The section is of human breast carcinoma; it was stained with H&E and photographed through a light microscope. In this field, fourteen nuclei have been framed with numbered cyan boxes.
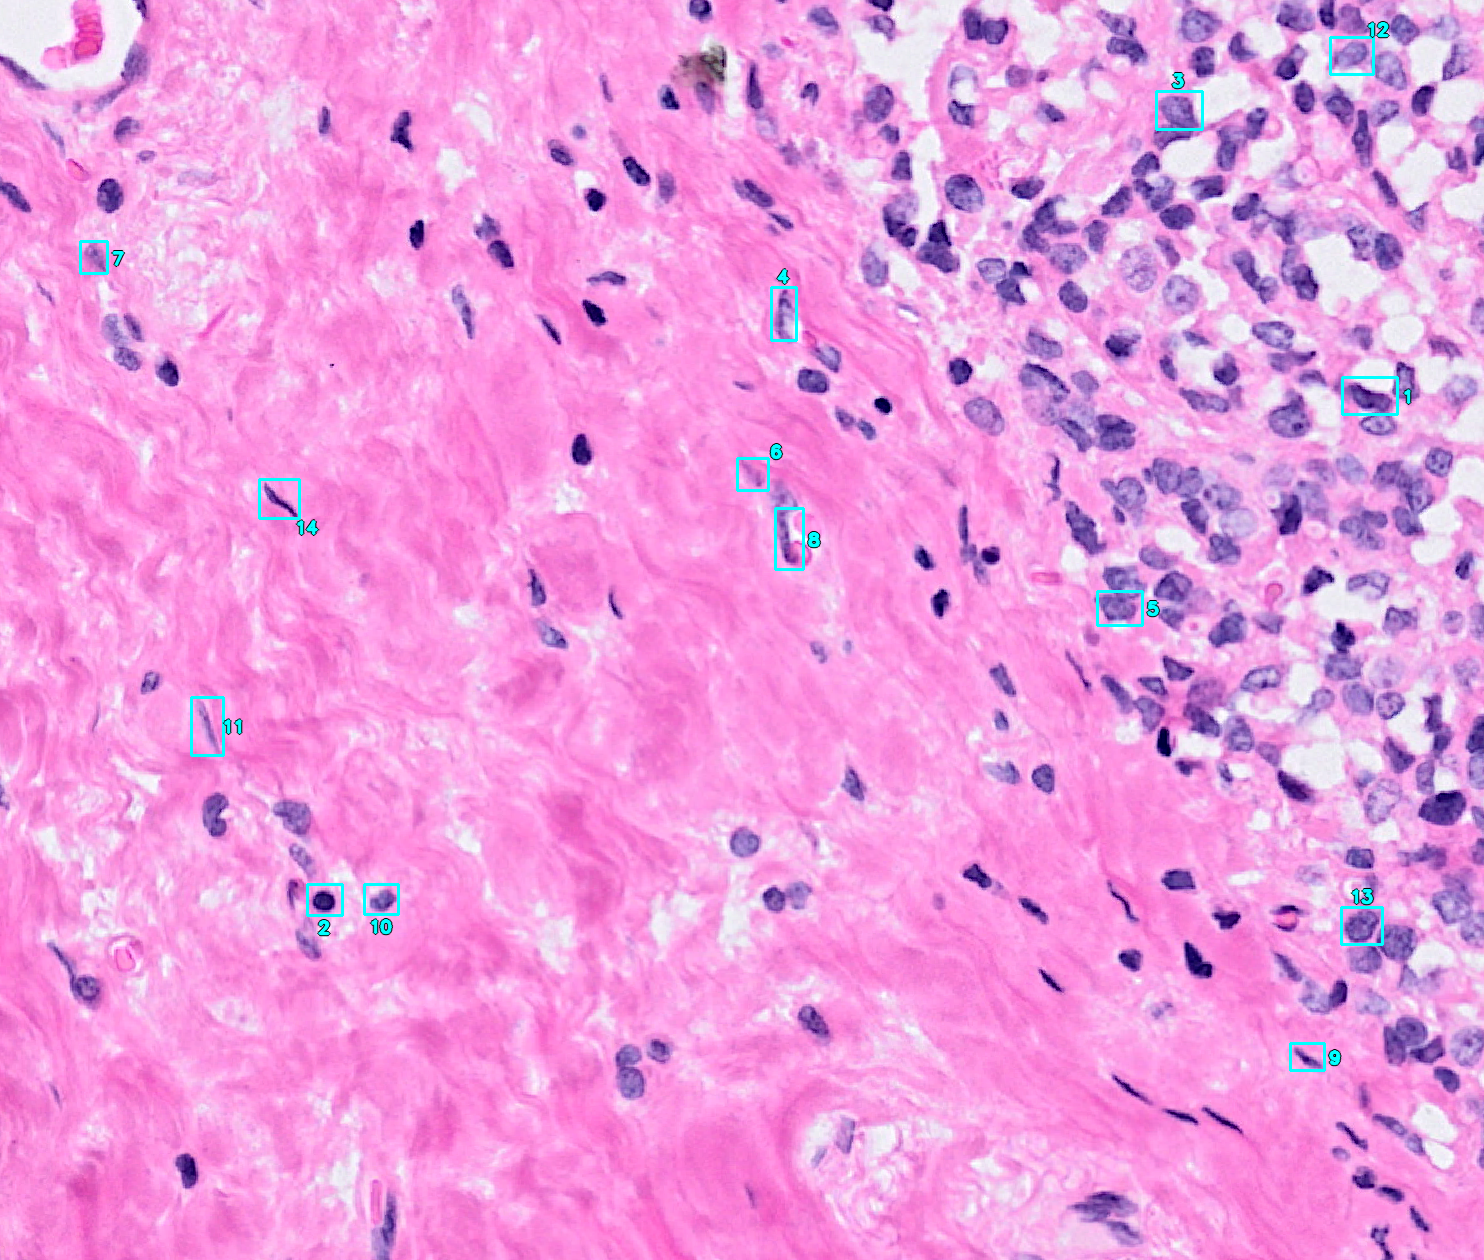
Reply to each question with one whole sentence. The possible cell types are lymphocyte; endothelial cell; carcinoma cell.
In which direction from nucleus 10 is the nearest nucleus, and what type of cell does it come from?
Lying to the left of nucleus 10, the nearest nucleus is that of a lymphocyte.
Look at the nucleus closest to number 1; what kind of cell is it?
It is a carcinoma cell whose nucleus is nearest to number 1.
